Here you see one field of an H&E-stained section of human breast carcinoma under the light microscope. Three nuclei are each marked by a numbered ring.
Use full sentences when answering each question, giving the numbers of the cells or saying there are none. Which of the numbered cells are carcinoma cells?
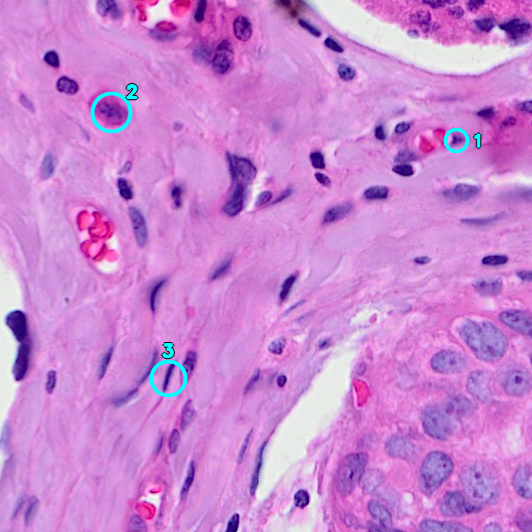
The numbered cells are, without exception, not carcinoma cells.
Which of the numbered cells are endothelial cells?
Cell 1 is an endothelial cell and is the only numbered cell of that kind.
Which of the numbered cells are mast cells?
In this set of numbered cells, only cell 2 is a mast cell.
